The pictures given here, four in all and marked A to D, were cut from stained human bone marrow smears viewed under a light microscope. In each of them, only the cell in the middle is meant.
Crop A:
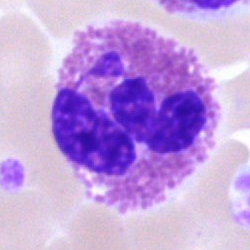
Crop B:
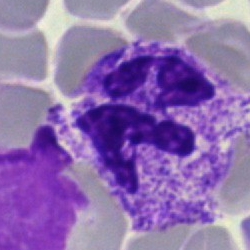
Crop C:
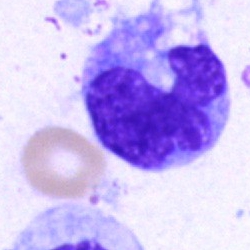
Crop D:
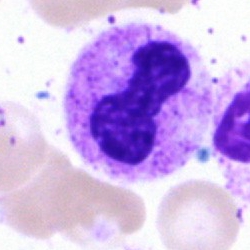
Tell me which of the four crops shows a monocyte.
C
